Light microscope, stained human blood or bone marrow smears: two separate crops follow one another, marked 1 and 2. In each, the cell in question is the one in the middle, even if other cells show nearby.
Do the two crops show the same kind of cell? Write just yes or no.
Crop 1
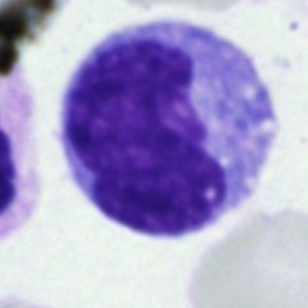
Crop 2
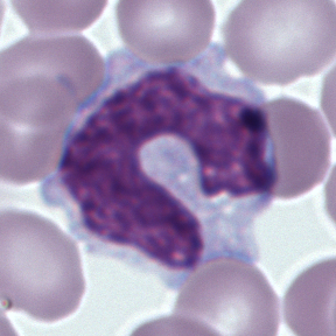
yes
